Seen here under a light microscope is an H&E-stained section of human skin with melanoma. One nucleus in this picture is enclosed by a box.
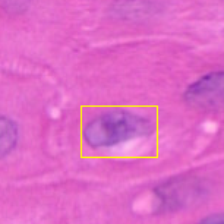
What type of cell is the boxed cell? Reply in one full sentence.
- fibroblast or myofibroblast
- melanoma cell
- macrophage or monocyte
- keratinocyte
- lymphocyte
Considered by cell type, the boxed cell is a keratinocyte.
